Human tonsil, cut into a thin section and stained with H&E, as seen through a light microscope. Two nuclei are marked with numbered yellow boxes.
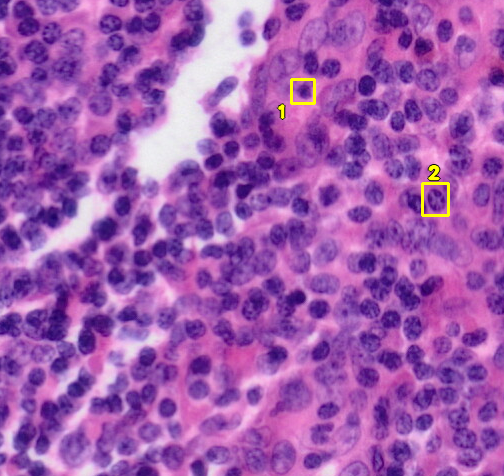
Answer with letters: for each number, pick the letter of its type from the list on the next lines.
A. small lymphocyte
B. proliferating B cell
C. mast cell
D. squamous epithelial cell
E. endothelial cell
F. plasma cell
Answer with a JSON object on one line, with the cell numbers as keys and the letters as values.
{"1": "E", "2": "F"}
